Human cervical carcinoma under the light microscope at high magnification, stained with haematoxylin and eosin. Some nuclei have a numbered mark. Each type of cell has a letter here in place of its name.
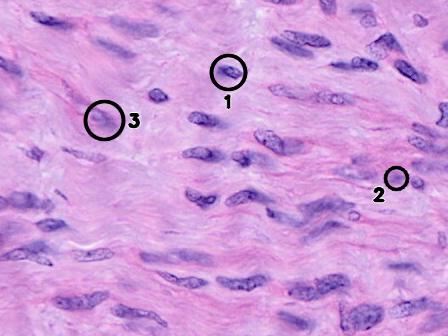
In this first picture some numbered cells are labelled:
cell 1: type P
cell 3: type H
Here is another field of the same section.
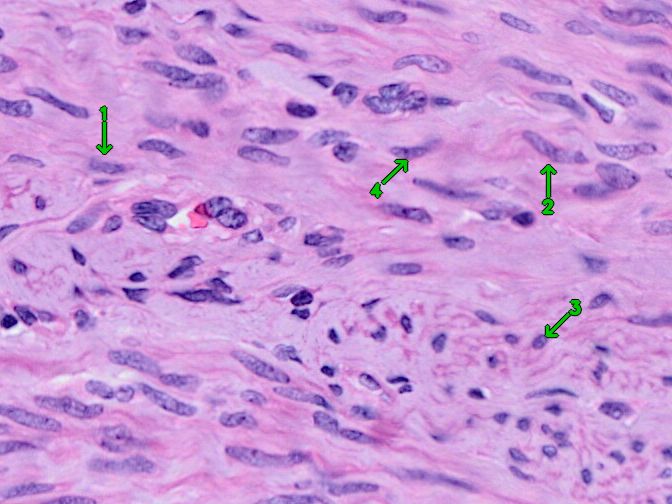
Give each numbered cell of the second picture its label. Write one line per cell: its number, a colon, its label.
1: type P
2: type H
3: type H
4: type H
